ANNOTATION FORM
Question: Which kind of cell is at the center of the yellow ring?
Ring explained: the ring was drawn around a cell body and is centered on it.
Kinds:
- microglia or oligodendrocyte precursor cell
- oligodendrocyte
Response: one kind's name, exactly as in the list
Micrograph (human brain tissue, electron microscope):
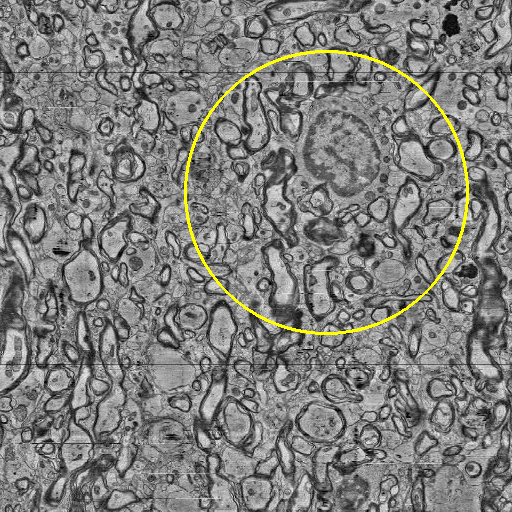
oligodendrocyte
